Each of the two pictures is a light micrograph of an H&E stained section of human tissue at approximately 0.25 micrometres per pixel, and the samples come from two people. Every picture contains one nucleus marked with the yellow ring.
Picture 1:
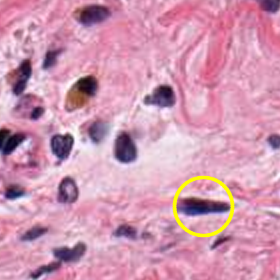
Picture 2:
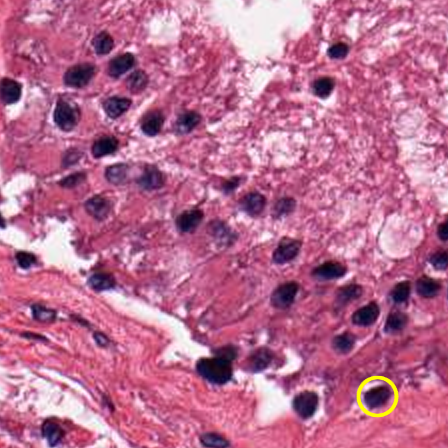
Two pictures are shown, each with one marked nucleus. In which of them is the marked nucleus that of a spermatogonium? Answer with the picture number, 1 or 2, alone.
2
